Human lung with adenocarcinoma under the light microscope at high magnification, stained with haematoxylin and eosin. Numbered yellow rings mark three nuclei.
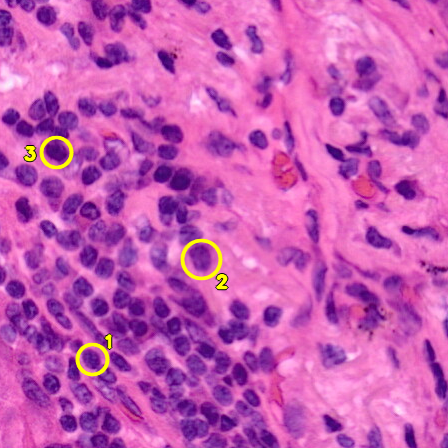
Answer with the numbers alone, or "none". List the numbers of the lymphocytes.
1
